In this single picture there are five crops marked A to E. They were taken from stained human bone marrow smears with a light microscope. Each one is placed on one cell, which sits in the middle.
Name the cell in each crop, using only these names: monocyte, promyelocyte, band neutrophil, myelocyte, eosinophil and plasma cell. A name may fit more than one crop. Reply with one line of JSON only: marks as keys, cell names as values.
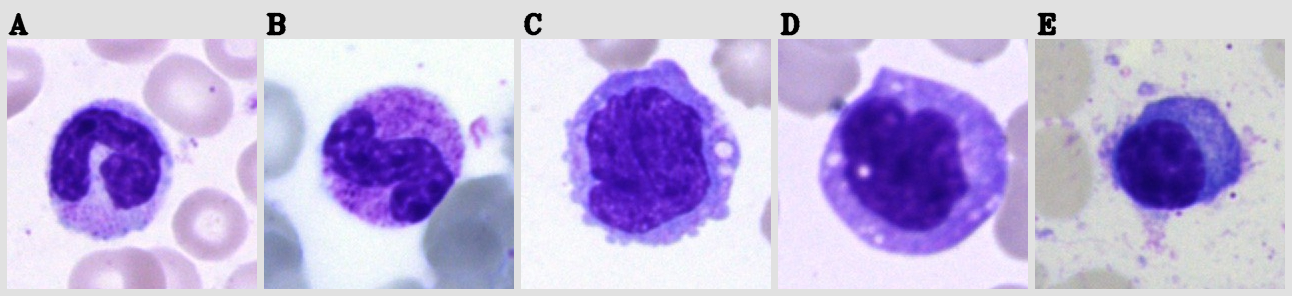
{"A": "band neutrophil", "B": "band neutrophil", "C": "monocyte", "D": "monocyte", "E": "plasma cell"}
